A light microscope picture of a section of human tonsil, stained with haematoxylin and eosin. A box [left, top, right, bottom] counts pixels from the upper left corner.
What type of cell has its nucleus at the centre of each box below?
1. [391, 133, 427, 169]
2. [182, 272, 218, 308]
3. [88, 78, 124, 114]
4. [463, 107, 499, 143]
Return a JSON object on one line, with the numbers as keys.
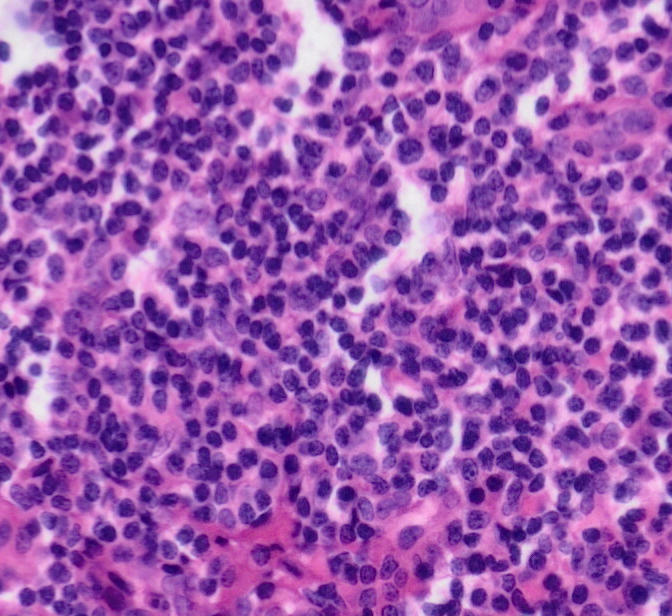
{"1": "proliferating B cell", "2": "small lymphocyte", "3": "small lymphocyte", "4": "small lymphocyte"}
